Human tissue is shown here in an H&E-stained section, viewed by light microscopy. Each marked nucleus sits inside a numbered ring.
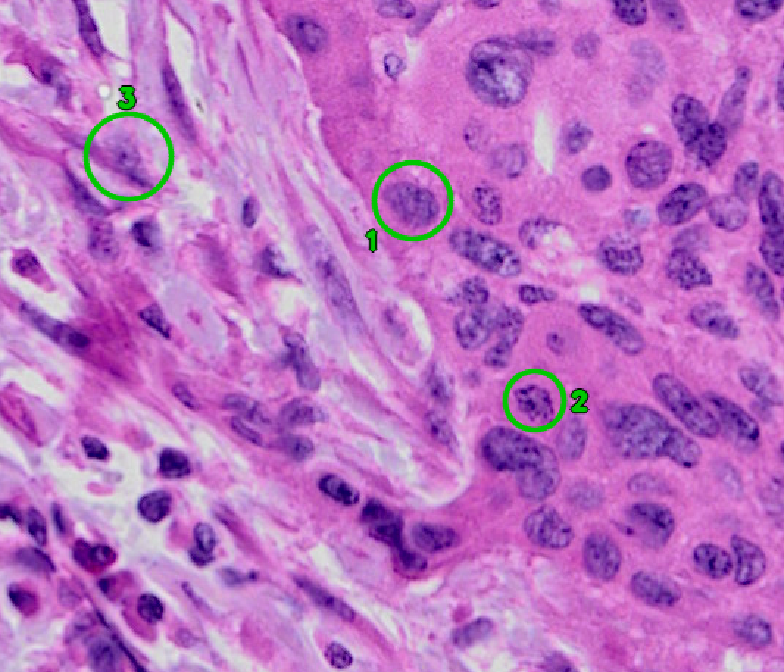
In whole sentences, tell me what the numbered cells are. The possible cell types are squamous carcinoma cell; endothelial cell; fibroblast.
Cell 1 is a squamous carcinoma cell, cell 2 is a squamous carcinoma cell and cell 3 is a fibroblast.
